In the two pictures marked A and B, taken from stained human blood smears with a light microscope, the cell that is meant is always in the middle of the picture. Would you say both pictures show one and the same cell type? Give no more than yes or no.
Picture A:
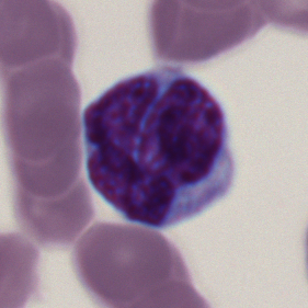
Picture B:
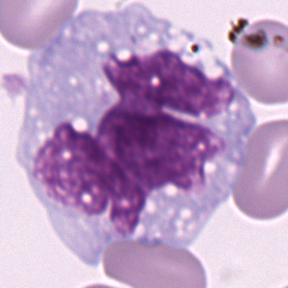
yes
